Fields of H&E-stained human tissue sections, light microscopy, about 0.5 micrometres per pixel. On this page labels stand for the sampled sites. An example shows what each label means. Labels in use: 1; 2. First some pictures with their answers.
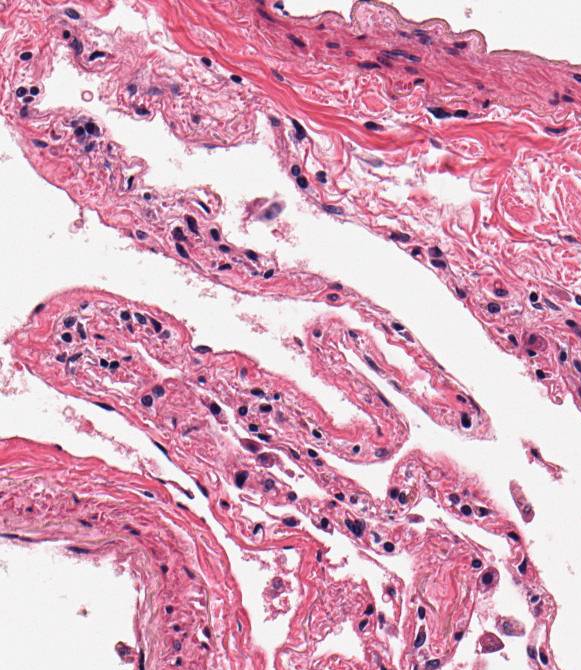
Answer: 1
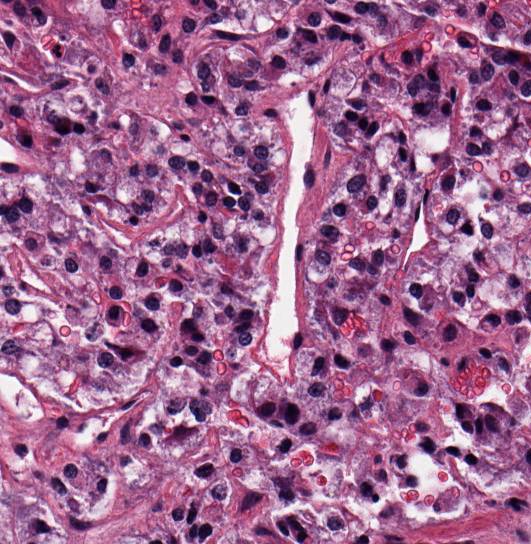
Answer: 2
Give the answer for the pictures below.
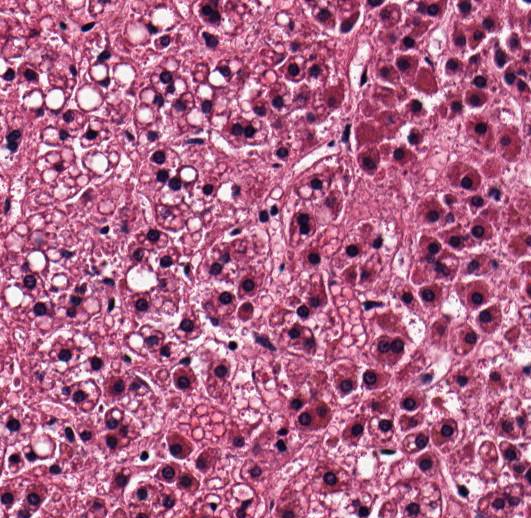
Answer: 2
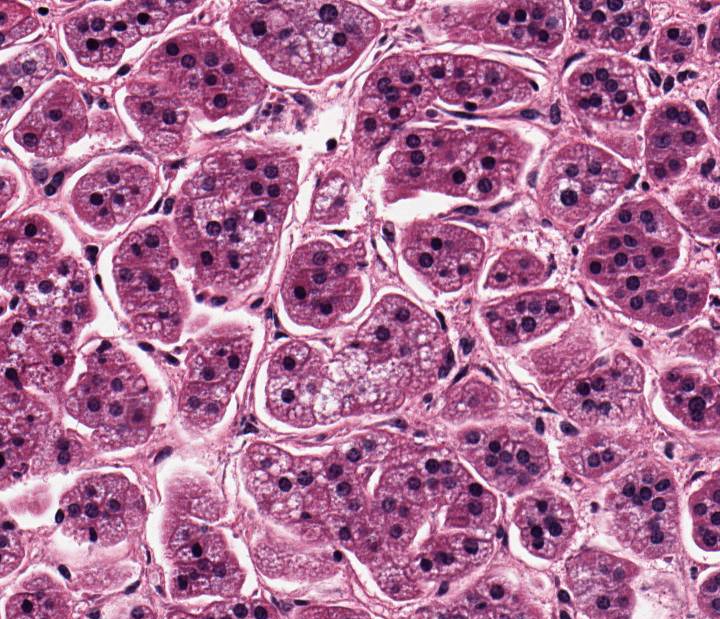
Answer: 2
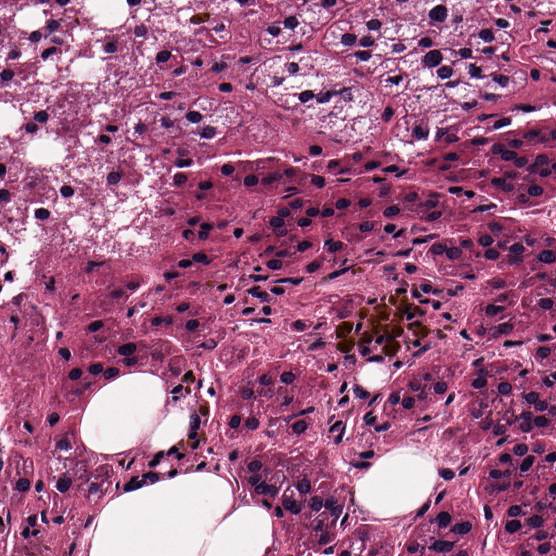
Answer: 2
